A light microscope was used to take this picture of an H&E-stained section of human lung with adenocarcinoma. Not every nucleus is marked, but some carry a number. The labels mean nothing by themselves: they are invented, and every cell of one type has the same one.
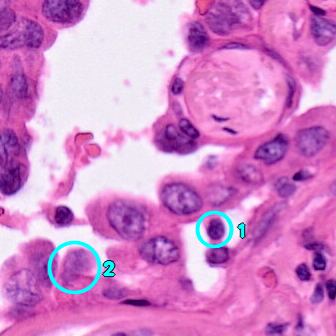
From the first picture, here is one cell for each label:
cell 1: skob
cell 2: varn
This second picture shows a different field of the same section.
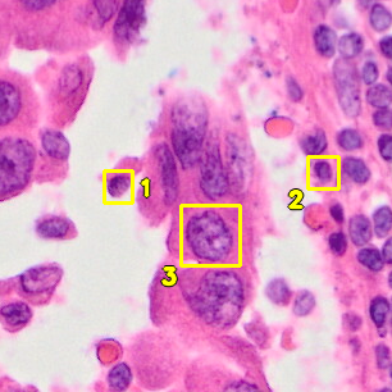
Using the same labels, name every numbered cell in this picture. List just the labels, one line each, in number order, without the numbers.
skob
skob
varn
